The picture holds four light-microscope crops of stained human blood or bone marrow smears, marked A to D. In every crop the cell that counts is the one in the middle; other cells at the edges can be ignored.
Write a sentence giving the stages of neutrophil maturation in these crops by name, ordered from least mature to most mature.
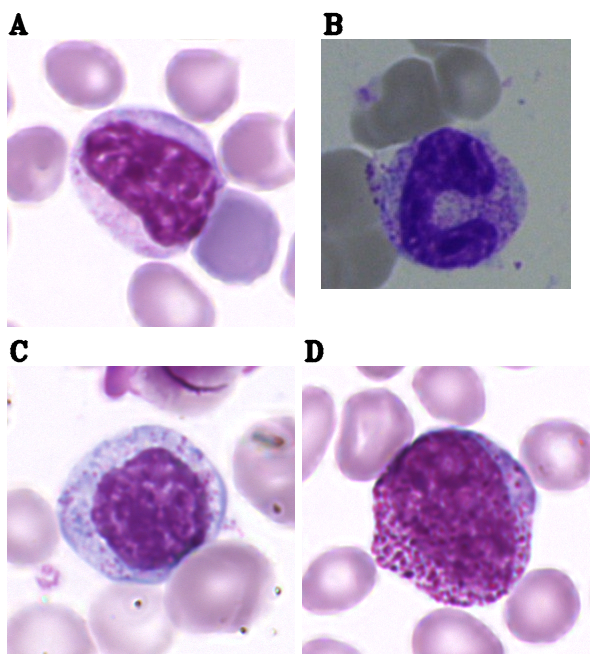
Along the maturation line, from least to most mature, sit crop D (a promyelocyte), crop C (a myelocyte), crop A (a metamyelocyte) and crop B (a band neutrophil).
